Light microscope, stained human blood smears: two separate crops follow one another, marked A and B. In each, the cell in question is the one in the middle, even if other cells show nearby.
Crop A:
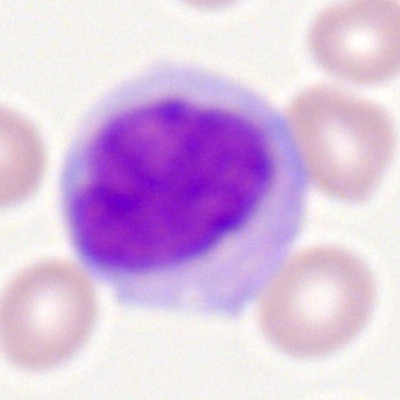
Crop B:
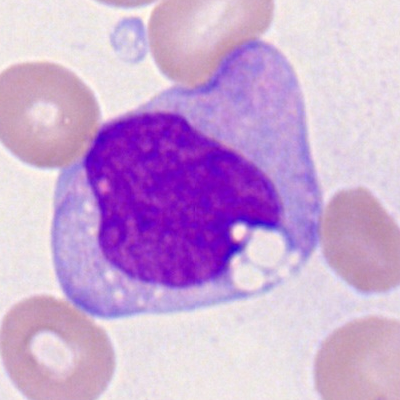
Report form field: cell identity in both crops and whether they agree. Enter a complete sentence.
Yes, both crops are centred on monocytes.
